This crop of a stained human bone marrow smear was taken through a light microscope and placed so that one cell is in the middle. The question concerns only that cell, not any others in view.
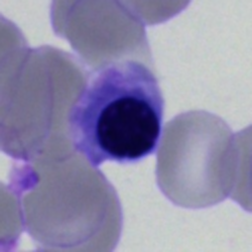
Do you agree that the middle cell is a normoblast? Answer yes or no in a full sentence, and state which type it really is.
Yes, the cell shown in the middle is a normoblast.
